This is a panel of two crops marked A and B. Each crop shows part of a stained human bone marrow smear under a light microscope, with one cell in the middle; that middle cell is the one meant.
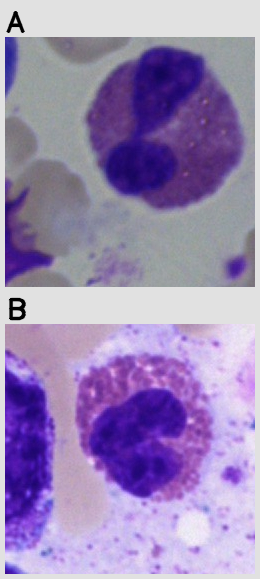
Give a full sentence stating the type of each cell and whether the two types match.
Yes, that holds, both crops show eosinophils.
